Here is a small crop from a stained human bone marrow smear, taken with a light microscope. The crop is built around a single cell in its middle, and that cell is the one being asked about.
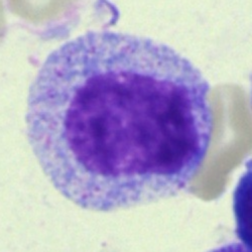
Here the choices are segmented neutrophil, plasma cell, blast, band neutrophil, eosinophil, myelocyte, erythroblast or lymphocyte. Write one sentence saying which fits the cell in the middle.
What the crop centres on is a myelocyte.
